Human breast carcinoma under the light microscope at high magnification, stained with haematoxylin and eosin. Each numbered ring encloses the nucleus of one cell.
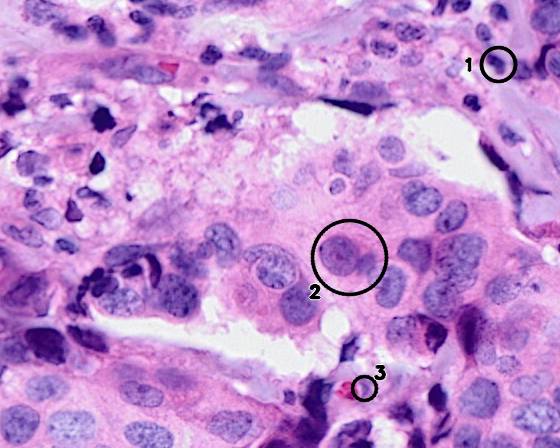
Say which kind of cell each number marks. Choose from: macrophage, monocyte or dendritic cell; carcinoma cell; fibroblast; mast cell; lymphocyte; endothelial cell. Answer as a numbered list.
1. lymphocyte
2. carcinoma cell
3. endothelial cell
